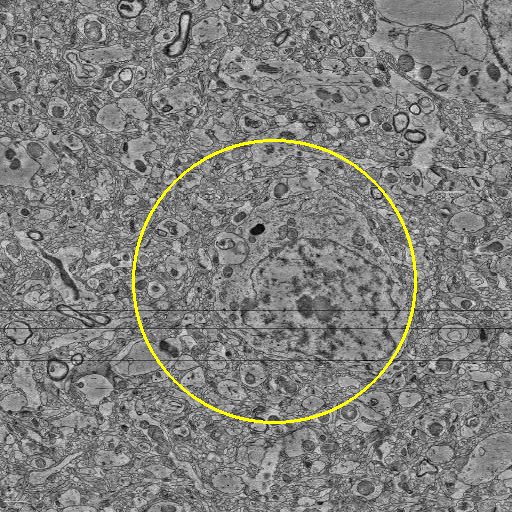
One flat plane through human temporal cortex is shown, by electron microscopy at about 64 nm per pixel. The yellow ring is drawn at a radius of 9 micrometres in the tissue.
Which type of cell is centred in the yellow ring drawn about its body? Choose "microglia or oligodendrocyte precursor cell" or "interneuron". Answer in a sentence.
The yellow ring surrounds the cell body of an interneuron.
